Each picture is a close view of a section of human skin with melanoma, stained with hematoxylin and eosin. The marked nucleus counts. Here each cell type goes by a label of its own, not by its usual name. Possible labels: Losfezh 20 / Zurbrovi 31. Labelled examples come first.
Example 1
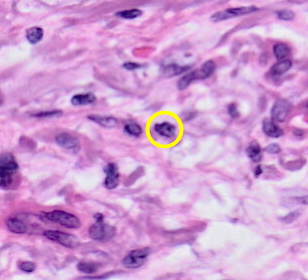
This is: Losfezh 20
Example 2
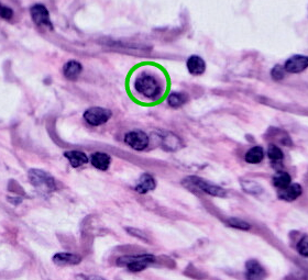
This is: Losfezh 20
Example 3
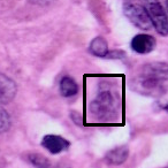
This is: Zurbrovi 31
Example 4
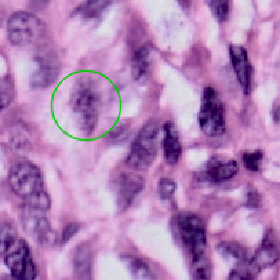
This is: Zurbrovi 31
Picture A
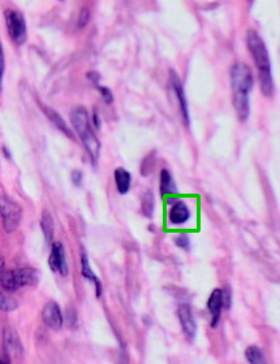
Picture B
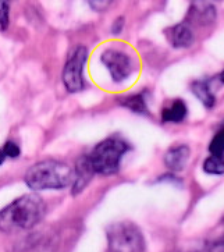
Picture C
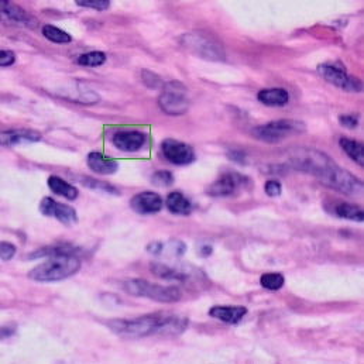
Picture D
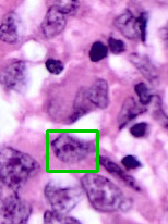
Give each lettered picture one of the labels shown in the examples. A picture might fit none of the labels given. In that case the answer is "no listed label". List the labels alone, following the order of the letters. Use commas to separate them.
no listed label, Zurbrovi 31, Losfezh 20, Zurbrovi 31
